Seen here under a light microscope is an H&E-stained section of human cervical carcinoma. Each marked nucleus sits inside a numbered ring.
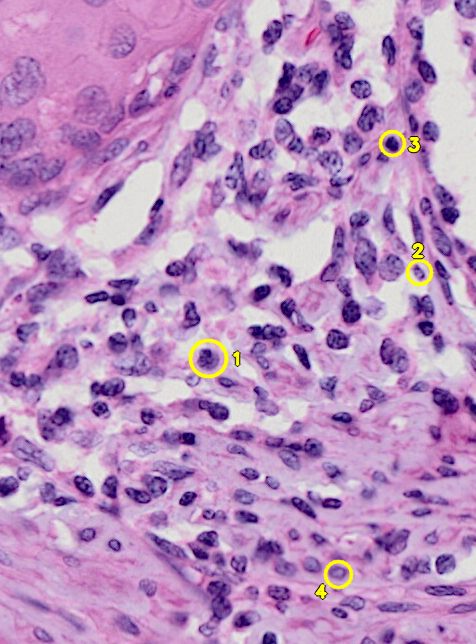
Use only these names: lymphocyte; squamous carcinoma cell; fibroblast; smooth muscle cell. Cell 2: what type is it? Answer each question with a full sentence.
The cell marked with number 2 is a lymphocyte.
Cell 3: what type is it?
The cell indicated by marker 3 is a lymphocyte in this section.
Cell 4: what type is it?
The correct label for cell 4 is a smooth muscle cell.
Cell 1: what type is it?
The correct label for cell 1 is a lymphocyte.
